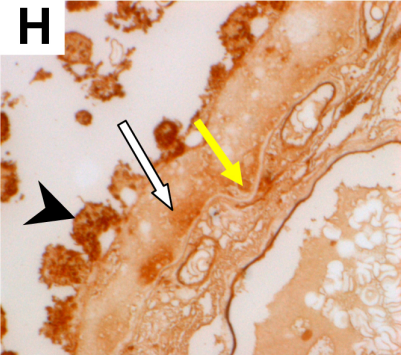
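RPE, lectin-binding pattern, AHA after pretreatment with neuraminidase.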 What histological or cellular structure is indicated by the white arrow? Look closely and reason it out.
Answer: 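Drusen. Dark granular cell clumps lie on its upper side.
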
